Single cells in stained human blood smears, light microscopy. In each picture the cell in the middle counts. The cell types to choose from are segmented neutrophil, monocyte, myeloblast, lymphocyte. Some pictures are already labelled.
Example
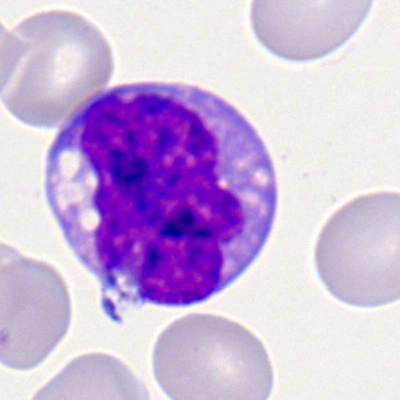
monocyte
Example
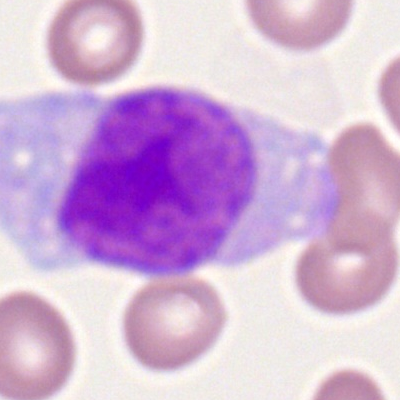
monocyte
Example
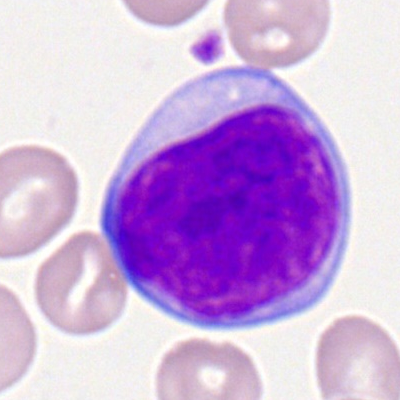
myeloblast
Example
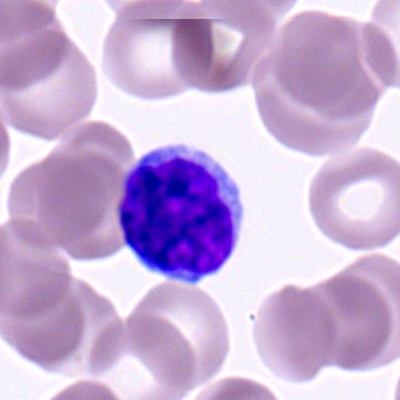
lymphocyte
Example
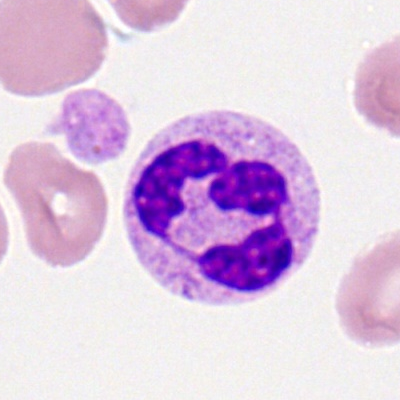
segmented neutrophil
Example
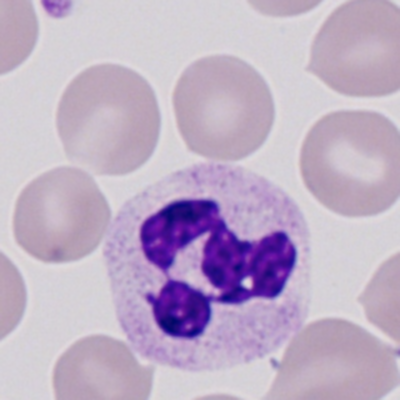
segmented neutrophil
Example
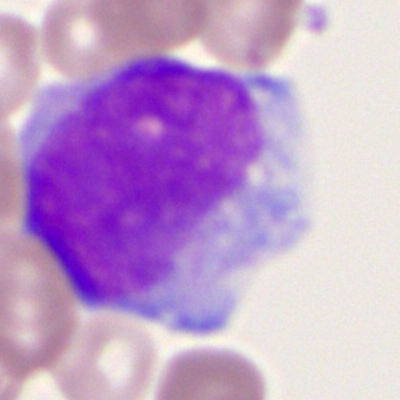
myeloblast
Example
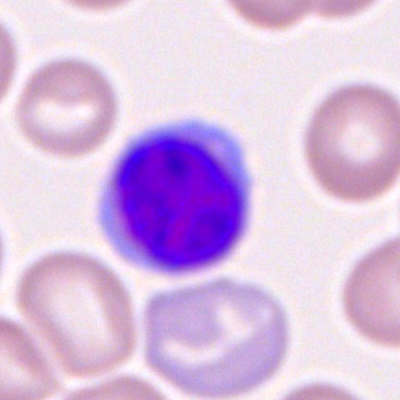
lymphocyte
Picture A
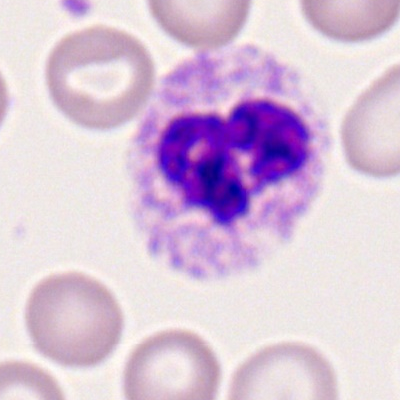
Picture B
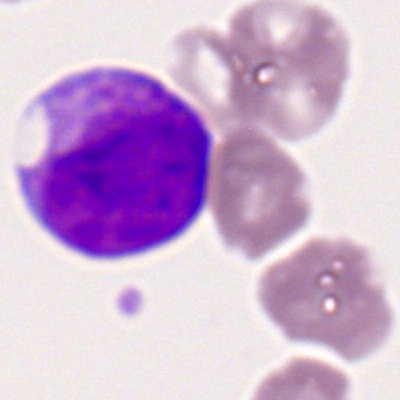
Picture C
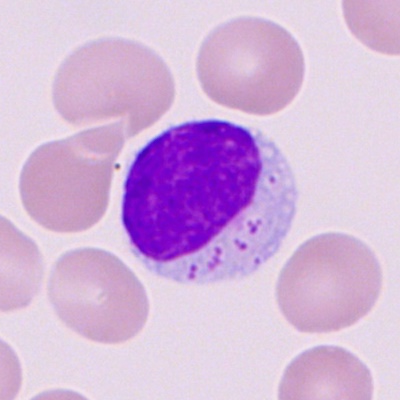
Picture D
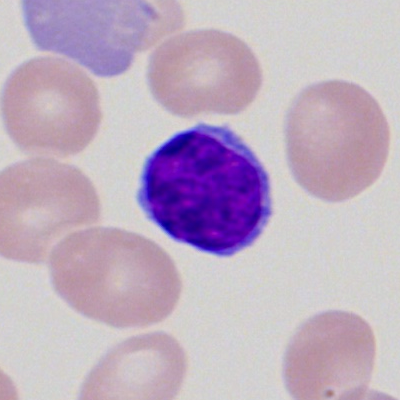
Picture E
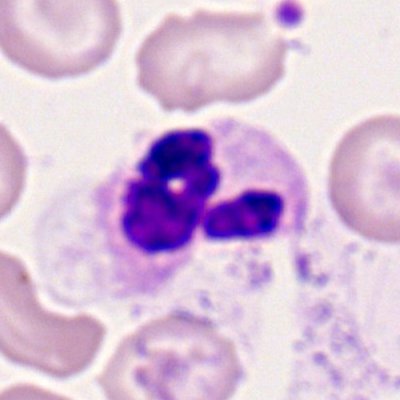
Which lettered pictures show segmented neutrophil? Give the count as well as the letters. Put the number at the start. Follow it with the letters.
2: A, E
